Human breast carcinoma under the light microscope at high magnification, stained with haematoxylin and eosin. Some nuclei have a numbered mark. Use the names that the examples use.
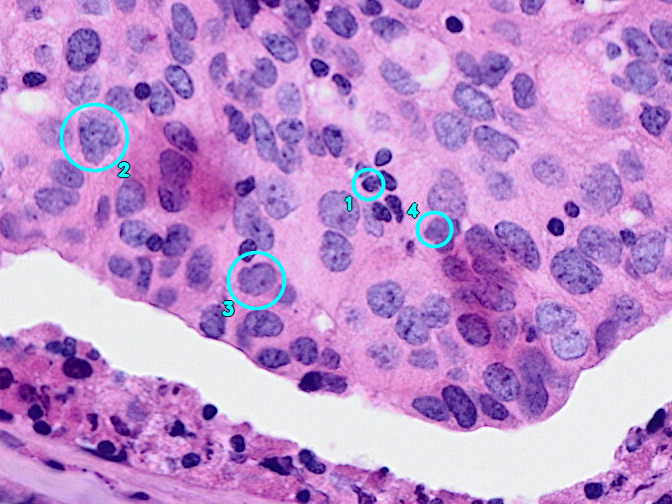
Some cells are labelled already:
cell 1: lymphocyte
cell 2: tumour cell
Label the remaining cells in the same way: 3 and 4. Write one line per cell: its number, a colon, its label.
3: tumour cell
4: tumour cell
